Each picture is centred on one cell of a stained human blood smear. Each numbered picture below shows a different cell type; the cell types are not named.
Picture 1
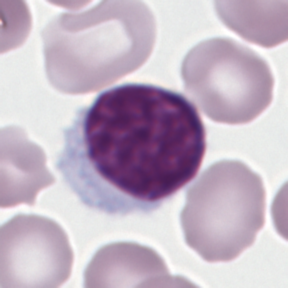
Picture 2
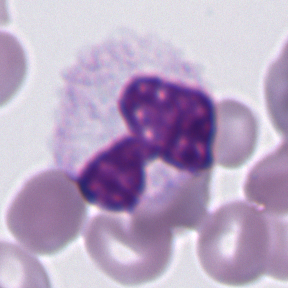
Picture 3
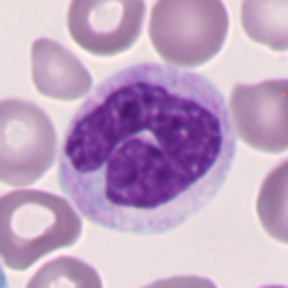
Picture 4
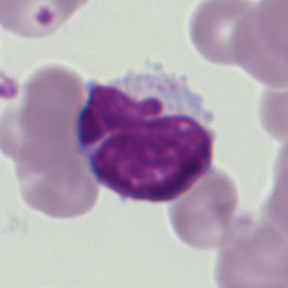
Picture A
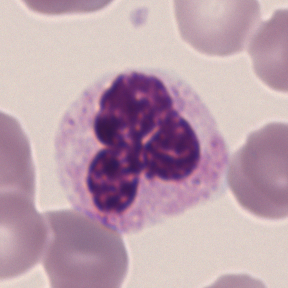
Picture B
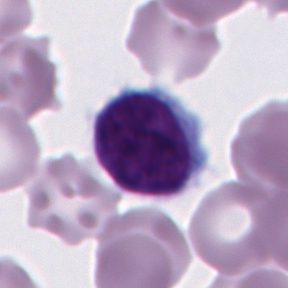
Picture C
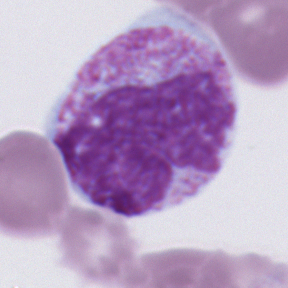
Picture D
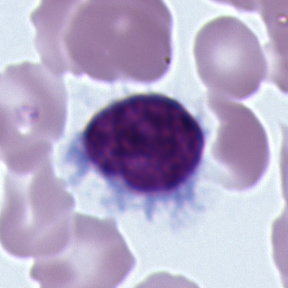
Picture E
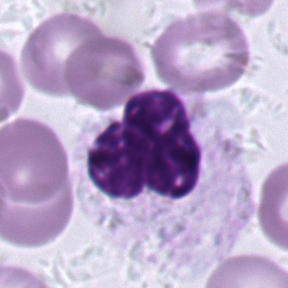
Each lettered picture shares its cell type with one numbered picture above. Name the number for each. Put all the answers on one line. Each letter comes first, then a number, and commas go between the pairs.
A 2, B 1, C 3, D 1, E 2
